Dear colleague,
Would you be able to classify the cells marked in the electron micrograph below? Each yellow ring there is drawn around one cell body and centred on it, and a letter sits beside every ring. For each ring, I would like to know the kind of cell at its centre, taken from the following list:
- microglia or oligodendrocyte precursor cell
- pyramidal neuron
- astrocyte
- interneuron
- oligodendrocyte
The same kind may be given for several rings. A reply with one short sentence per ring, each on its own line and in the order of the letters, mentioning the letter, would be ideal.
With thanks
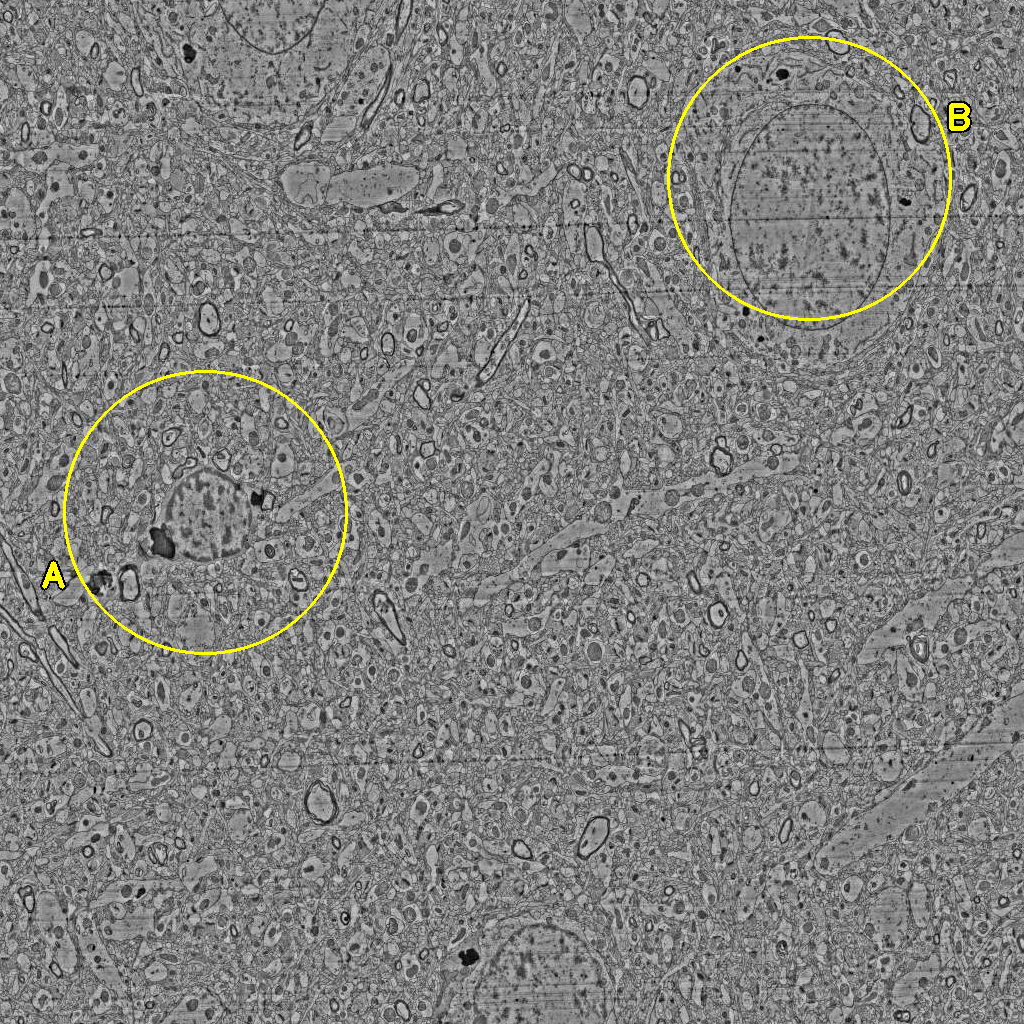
Ring A contains an oligodendrocyte at its centre.
Ring B contains a pyramidal neuron at its centre.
